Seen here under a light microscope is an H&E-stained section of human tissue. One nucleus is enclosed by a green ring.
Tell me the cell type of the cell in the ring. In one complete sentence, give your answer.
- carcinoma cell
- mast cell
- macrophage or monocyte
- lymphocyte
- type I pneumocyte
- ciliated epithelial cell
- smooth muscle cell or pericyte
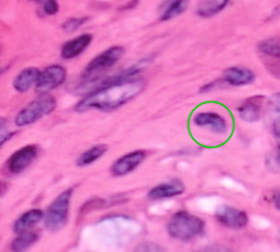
Right, so the cell in the ring is a mast cell, to answer that.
